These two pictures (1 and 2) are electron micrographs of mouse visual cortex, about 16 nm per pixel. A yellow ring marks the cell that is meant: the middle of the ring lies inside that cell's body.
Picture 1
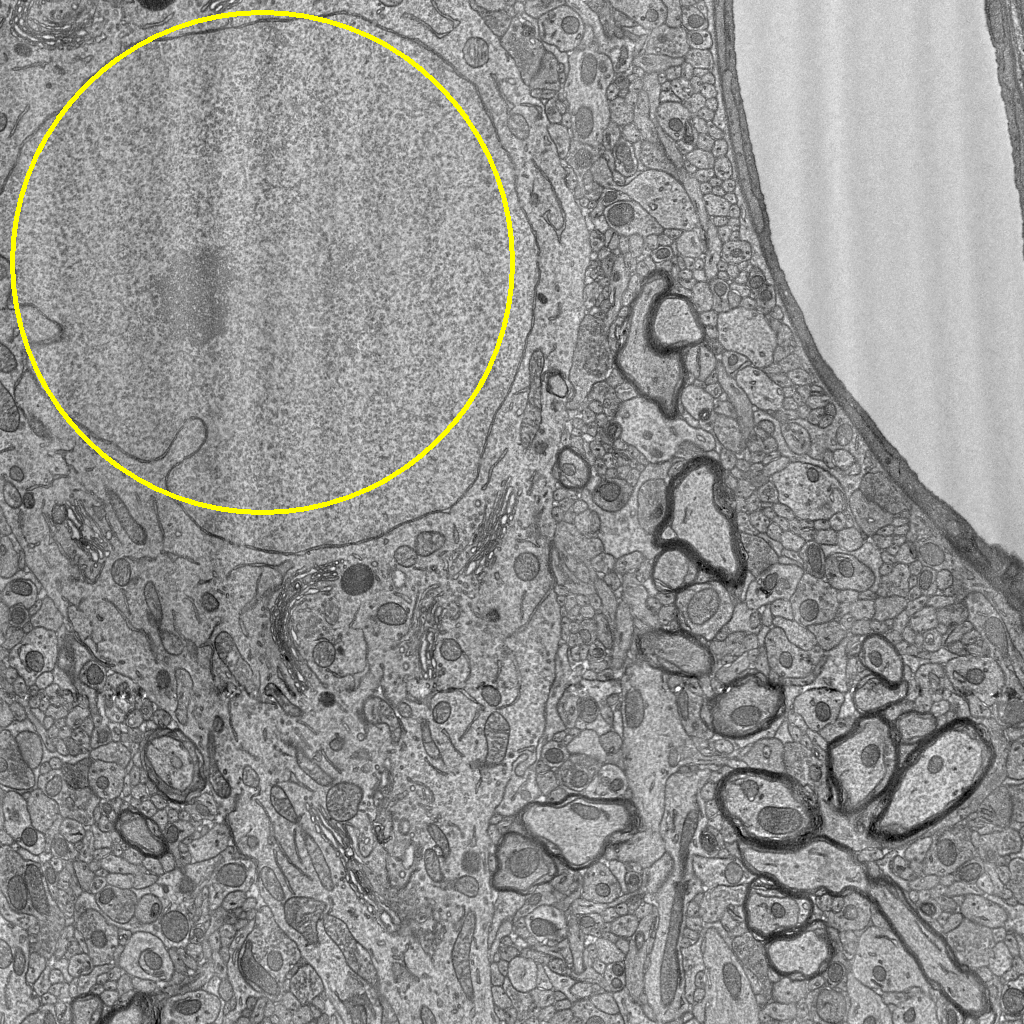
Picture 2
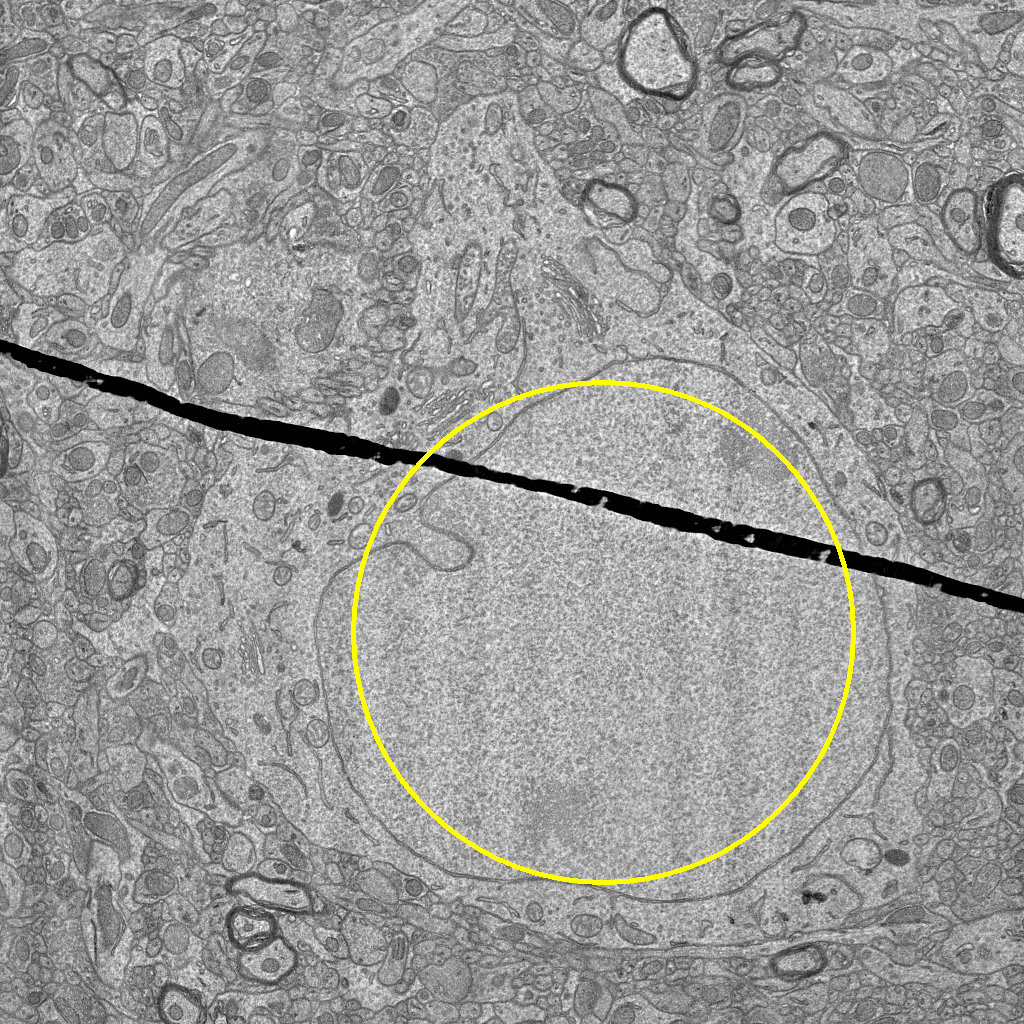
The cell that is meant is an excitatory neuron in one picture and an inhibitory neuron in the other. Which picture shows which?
Picture 1 is of an inhibitory neuron, and picture 2 is of an excitatory neuron.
